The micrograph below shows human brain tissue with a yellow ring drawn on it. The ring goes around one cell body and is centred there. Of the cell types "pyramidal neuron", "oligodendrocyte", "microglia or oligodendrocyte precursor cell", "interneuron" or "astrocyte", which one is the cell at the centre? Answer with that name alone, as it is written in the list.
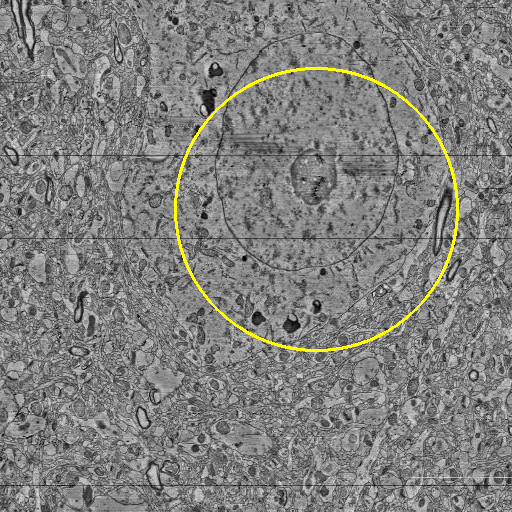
pyramidal neuron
